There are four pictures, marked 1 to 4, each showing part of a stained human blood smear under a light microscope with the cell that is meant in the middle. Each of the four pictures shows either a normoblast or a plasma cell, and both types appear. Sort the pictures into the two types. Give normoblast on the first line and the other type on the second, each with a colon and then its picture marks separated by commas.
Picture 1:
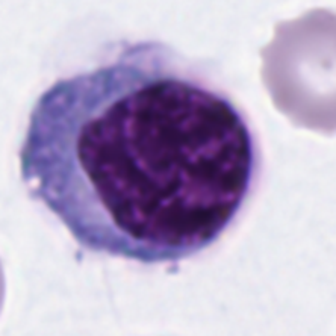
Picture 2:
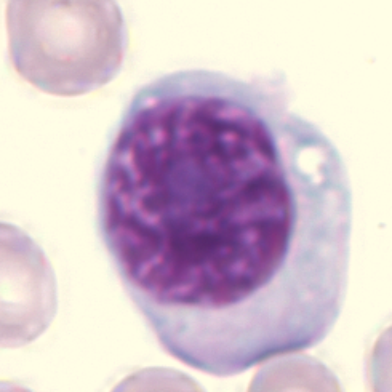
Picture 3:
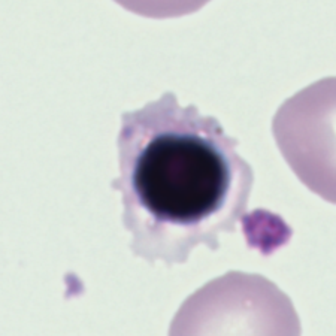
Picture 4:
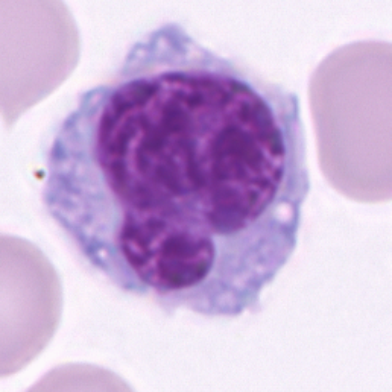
normoblast: 3
plasma cell: 1, 2, 4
